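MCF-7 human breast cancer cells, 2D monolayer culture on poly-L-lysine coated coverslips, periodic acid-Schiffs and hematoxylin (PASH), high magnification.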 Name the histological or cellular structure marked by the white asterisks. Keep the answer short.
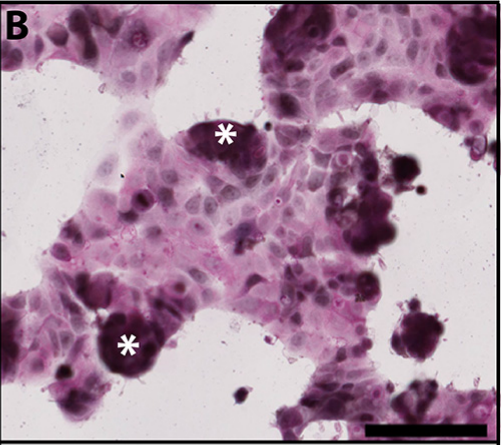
Aggregates of cells.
